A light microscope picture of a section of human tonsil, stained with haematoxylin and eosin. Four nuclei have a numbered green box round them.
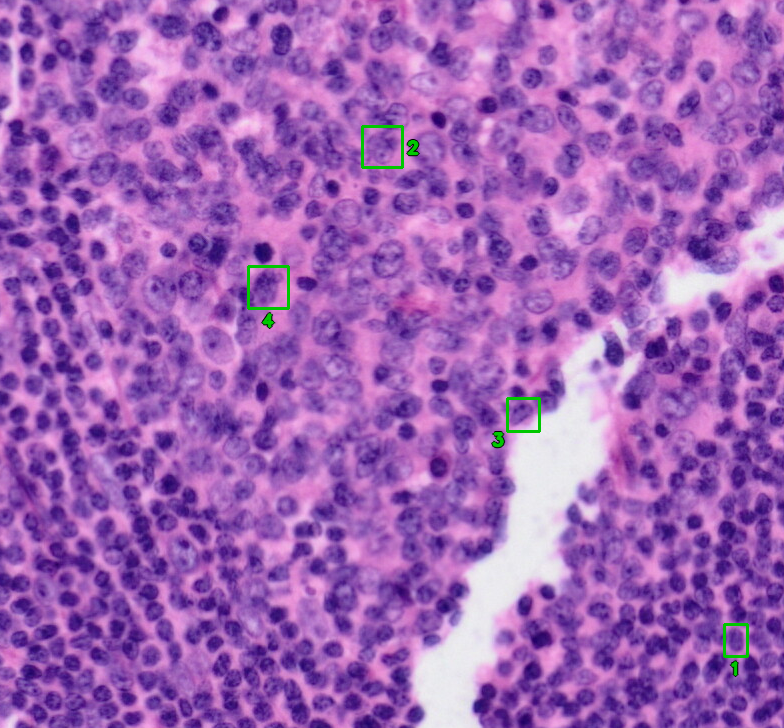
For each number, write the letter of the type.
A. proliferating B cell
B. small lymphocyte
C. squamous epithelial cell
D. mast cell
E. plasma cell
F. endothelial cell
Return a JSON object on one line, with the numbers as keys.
{"1": "B", "2": "A", "3": "A", "4": "A"}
